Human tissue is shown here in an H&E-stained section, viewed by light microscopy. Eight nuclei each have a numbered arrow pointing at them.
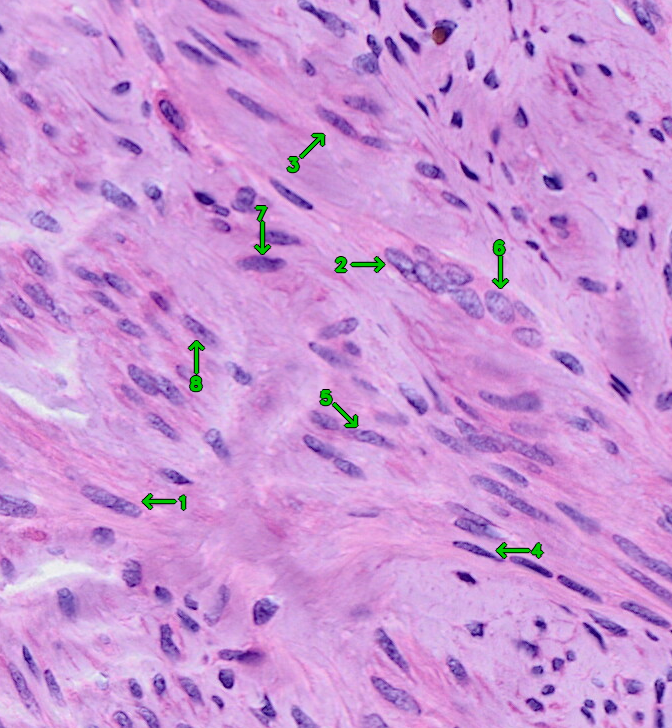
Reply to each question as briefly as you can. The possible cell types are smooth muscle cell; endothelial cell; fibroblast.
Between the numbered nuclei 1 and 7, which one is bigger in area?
1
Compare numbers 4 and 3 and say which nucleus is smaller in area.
4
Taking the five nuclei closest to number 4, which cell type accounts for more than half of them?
fibroblast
